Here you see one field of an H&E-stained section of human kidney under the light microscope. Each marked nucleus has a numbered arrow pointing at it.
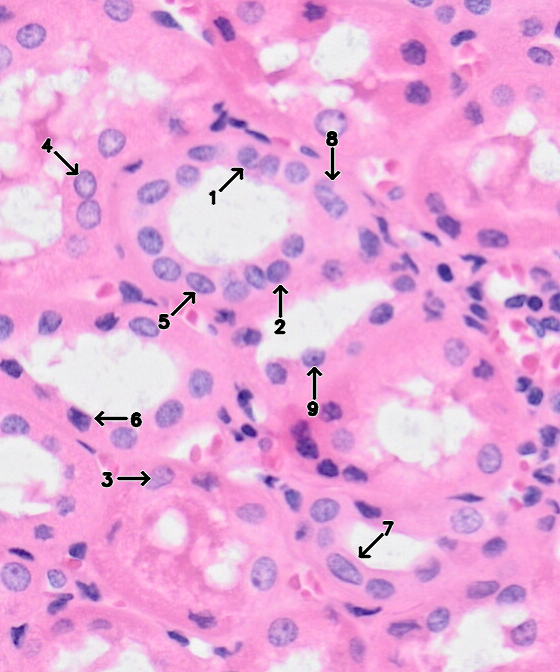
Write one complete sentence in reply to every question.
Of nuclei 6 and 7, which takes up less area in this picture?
It is nucleus 6; nucleus 7 has about 1.5 times its area.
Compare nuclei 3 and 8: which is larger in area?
Nucleus 8 covers more area, about 2 times as much as nucleus 3.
